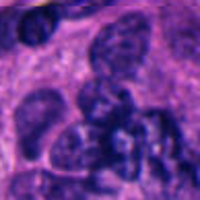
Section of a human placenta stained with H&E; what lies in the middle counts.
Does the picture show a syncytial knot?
Yes.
